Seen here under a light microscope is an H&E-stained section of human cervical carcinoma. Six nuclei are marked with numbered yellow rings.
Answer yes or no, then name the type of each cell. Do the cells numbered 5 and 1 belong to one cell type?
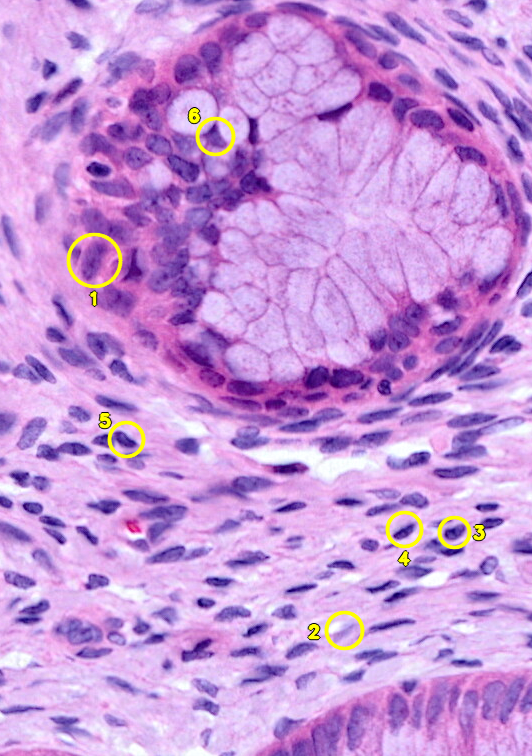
No, cell 5 is a fibroblast and cell 1 is a secretory epithelial cell.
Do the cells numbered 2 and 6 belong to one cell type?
No, cell 2 is a fibroblast and cell 6 is a secretory epithelial cell.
